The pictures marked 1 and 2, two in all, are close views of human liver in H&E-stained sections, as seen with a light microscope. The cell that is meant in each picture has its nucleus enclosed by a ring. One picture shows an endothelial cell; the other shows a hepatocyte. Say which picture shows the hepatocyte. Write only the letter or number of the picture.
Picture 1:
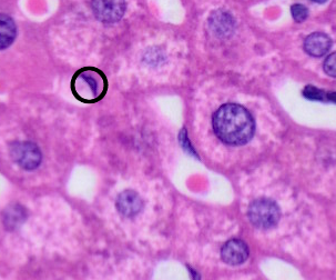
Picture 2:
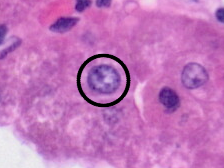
2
